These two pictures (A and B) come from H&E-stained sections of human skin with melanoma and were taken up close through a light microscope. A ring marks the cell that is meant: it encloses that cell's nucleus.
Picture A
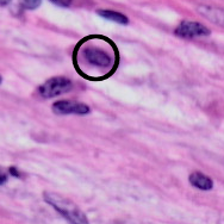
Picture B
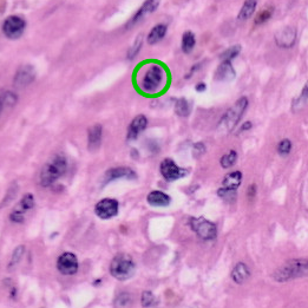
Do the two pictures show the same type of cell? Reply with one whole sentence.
Yes, both cells are plasma cells.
